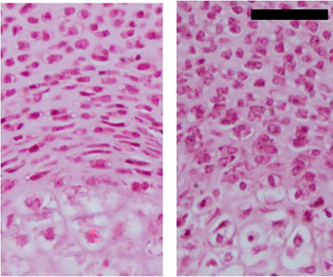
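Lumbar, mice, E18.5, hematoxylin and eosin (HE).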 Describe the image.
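These are chondrocytes of vertebral cartilage, with purple nuclei in a pink matrix in two side-by-side fields. In the upper part of each field the cells are small and rounded or slightly flattened, while toward the bottom they enlarge into pale, swollen cells in lacunae. In the left field the cells are spaced apart by ample pink matrix and the smaller cells form a curved, layered band above the enlarged cells. In the right field the cells are crowded with little matrix between them, and the layering is less orderly.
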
